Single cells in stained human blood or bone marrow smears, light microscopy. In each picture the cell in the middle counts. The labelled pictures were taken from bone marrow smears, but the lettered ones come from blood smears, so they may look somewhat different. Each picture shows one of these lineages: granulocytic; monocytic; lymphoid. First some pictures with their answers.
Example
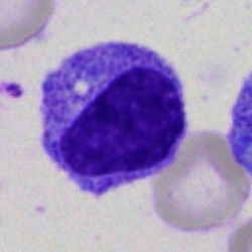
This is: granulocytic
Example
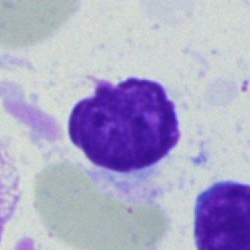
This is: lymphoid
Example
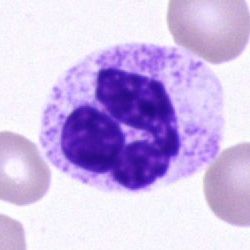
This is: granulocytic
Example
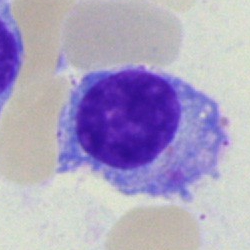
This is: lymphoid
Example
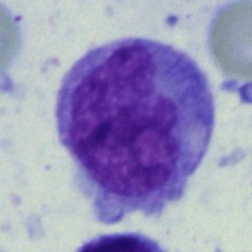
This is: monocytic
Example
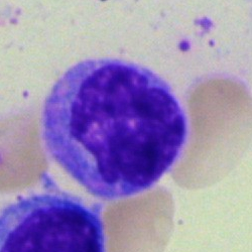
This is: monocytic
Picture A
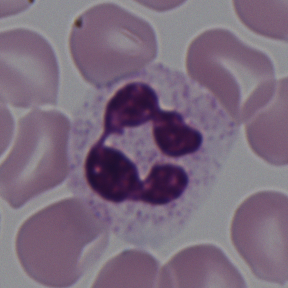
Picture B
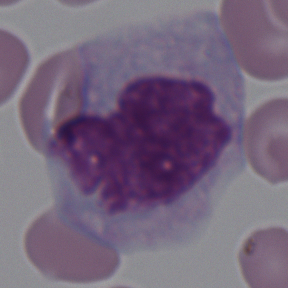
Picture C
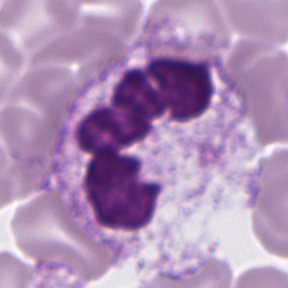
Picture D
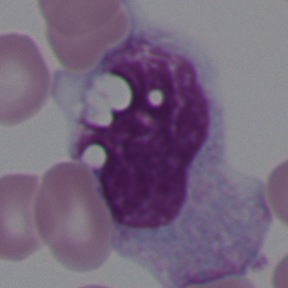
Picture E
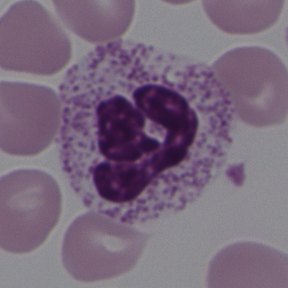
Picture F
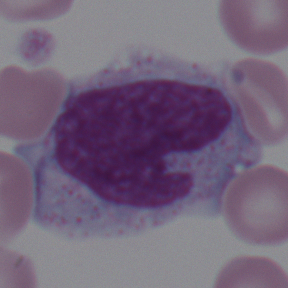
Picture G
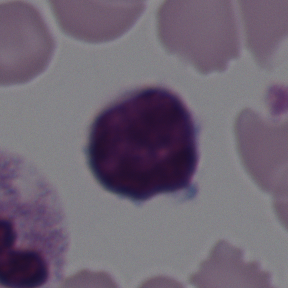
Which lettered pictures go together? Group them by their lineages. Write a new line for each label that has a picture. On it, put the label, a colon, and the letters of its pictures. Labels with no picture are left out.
granulocytic: A, C, E
monocytic: B, D, F
lymphoid: G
